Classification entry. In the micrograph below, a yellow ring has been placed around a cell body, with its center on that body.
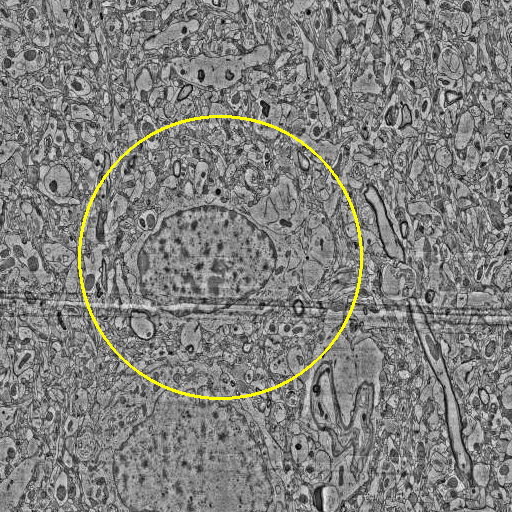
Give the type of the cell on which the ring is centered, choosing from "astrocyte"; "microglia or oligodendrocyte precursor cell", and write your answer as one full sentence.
The cell body at the center of the yellow ring belongs to a microglial cell or oligodendrocyte precursor cell.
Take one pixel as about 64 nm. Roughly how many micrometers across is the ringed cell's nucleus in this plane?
Roughly 9 by 7 micrometres is the size of the nucleus in this plane.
